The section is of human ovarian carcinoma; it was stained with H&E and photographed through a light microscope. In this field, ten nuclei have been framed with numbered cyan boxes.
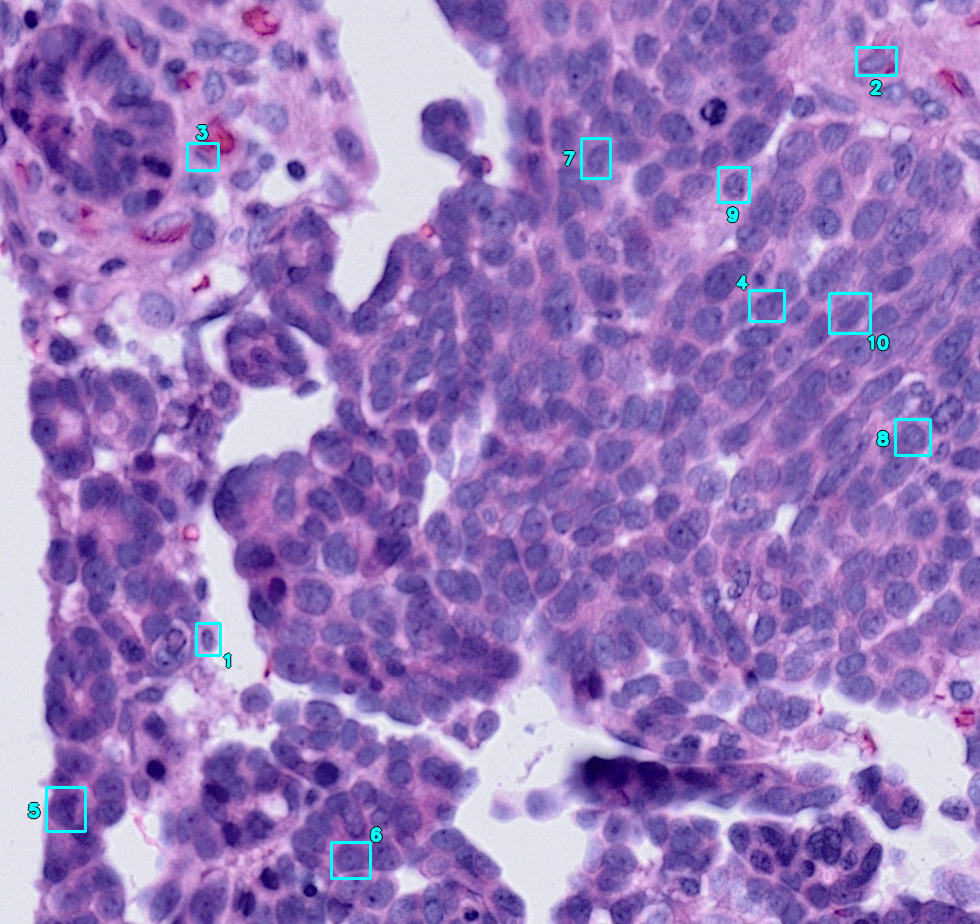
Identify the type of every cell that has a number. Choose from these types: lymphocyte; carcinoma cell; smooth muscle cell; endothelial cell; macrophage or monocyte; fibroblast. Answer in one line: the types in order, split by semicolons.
macrophage or monocyte; endothelial cell; endothelial cell; carcinoma cell; carcinoma cell; carcinoma cell; carcinoma cell; carcinoma cell; macrophage or monocyte; carcinoma cell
